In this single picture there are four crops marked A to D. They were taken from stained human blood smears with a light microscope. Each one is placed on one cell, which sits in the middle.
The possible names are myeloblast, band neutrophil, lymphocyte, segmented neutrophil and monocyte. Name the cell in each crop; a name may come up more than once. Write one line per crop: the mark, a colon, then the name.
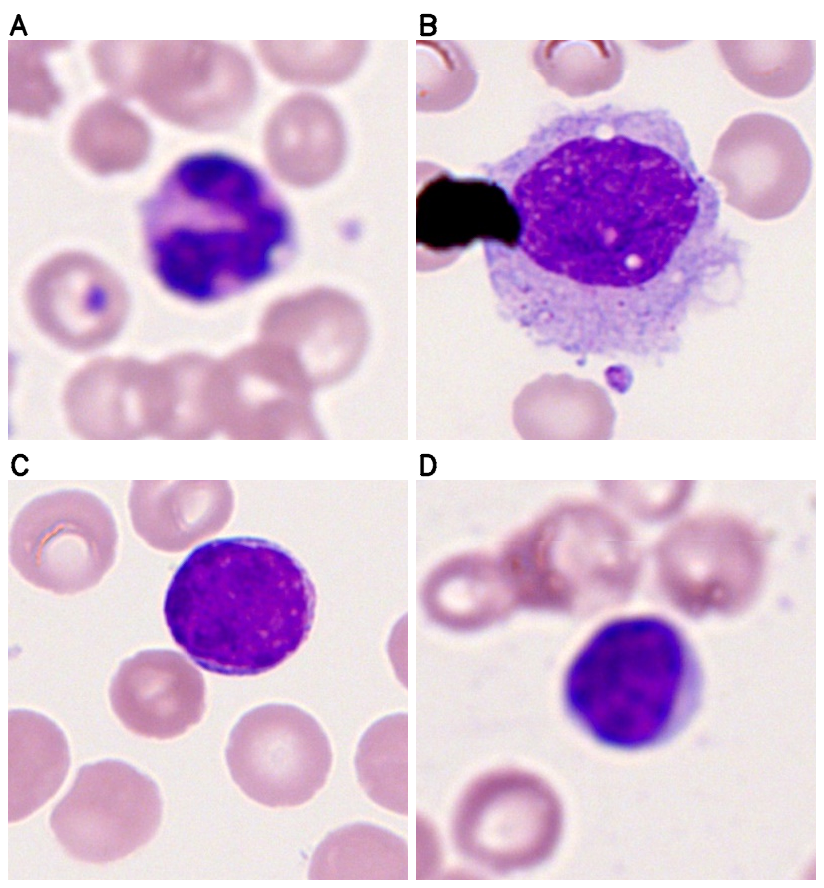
A: segmented neutrophil
B: monocyte
C: myeloblast
D: lymphocyte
